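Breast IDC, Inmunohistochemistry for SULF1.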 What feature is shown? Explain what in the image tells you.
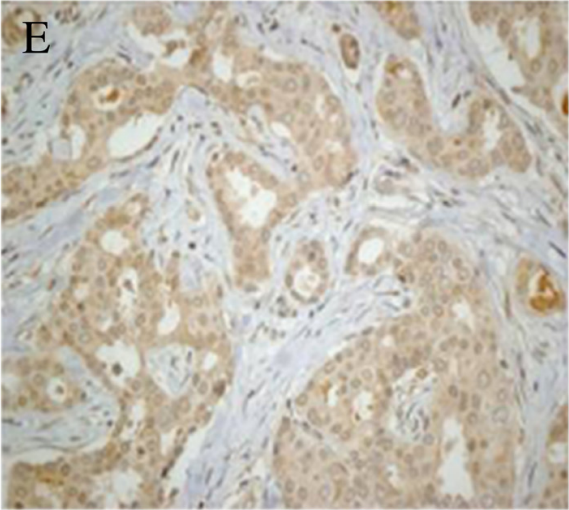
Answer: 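Brown-stained epithelial nests contain several irregular open lumens. The nests vary in size and shape and are separated by pale fibrous stroma.
Irregular ducts.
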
